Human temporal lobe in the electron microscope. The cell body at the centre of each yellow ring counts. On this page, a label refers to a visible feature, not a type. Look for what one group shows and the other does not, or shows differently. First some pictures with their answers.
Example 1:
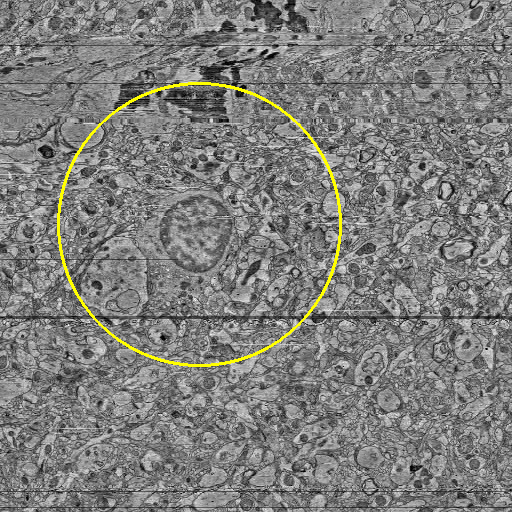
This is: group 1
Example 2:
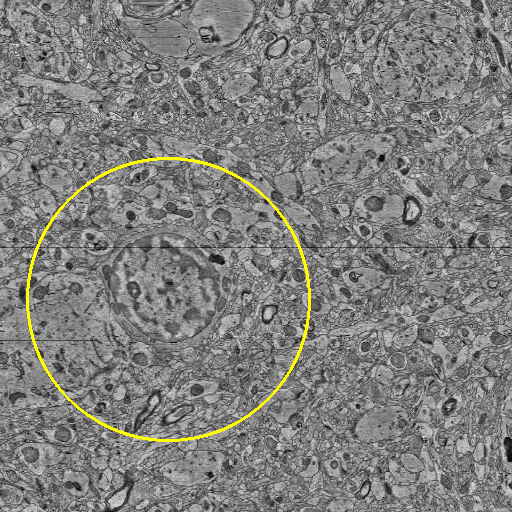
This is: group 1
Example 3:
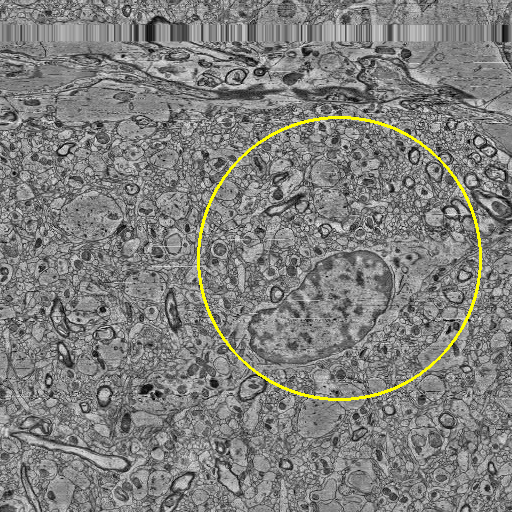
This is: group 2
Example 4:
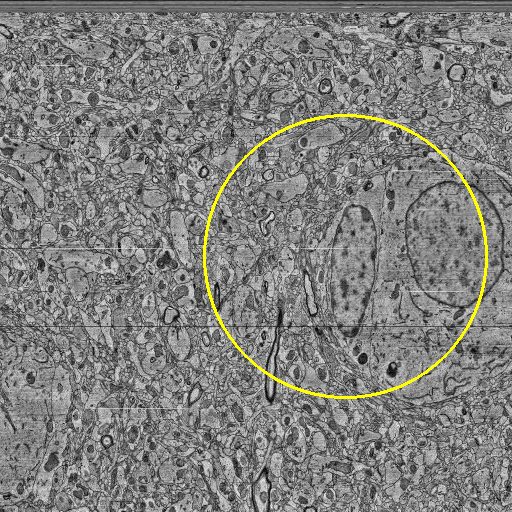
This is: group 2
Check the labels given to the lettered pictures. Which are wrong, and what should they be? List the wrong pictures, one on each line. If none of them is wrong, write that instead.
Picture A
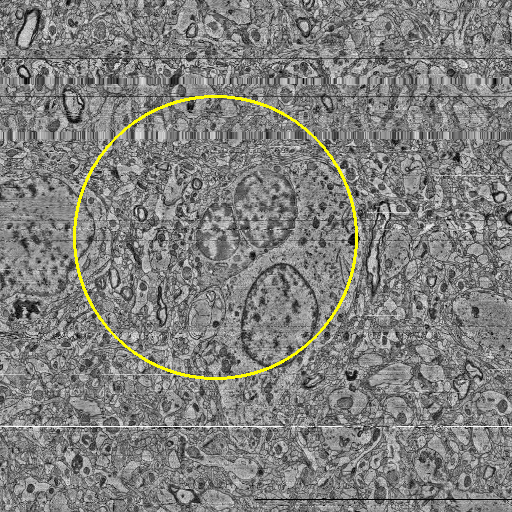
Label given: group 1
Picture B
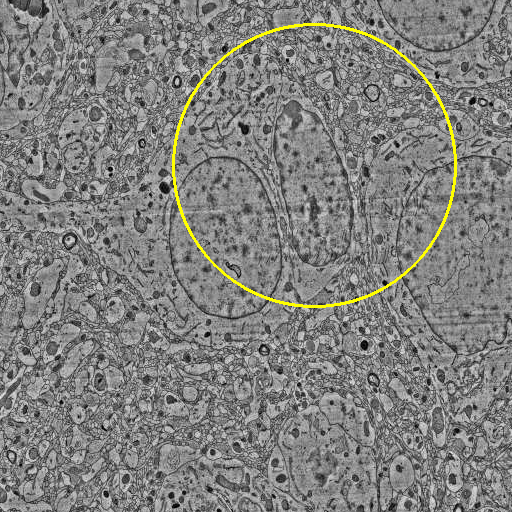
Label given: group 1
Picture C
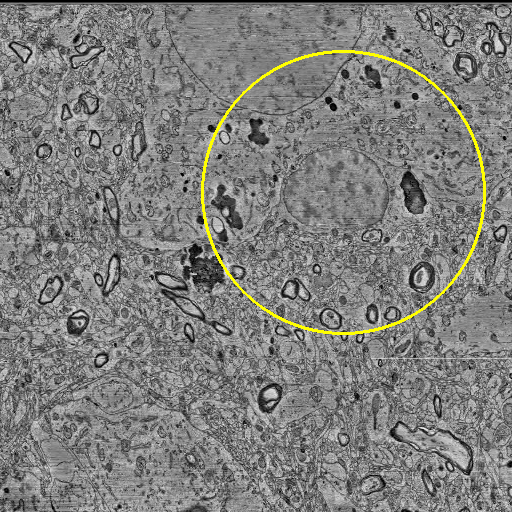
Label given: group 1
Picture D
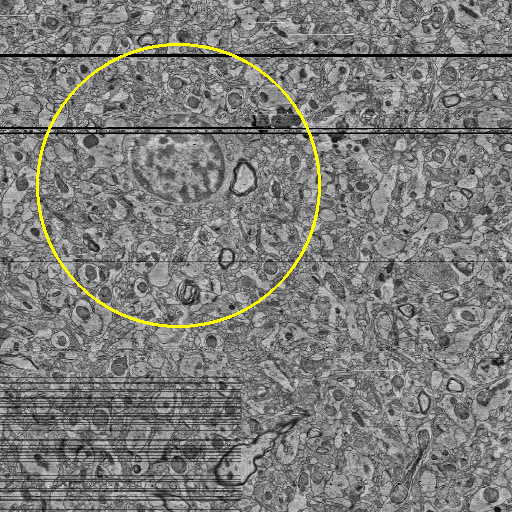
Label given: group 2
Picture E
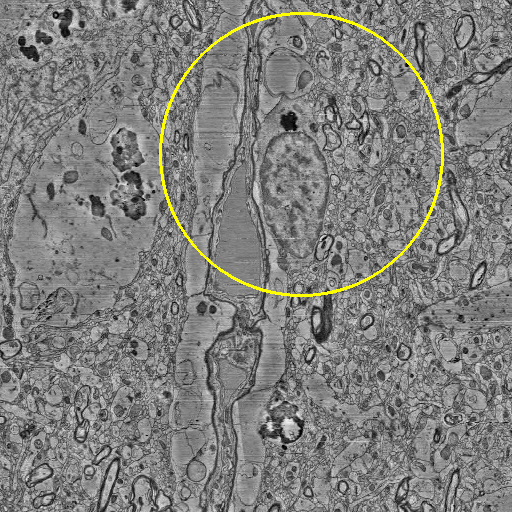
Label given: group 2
B: change group 1 to group 2
D: change group 2 to group 1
